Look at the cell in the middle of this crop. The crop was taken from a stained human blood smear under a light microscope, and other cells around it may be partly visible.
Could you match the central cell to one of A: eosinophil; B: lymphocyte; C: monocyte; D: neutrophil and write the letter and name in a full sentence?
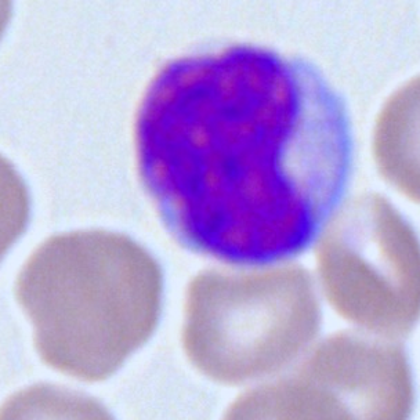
Option B is right in identifying the central cell as a lymphocyte.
